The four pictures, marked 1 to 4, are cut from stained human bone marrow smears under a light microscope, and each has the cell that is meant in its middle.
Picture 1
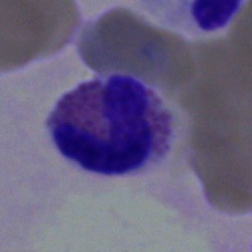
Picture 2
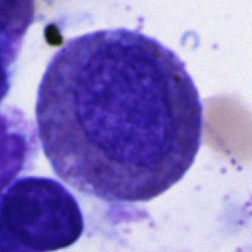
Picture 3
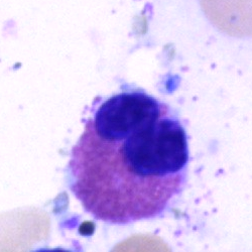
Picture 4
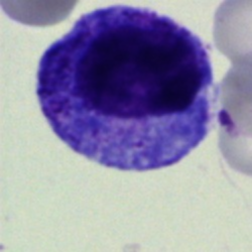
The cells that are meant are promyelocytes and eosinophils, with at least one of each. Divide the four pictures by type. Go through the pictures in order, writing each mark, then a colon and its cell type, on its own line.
1: eosinophil
2: eosinophil
3: eosinophil
4: promyelocyte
